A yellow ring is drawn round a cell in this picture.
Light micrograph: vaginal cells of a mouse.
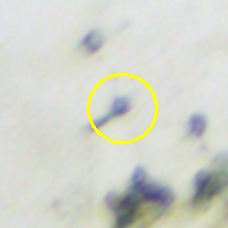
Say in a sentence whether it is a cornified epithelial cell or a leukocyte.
The cell in the ring is a leukocyte.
